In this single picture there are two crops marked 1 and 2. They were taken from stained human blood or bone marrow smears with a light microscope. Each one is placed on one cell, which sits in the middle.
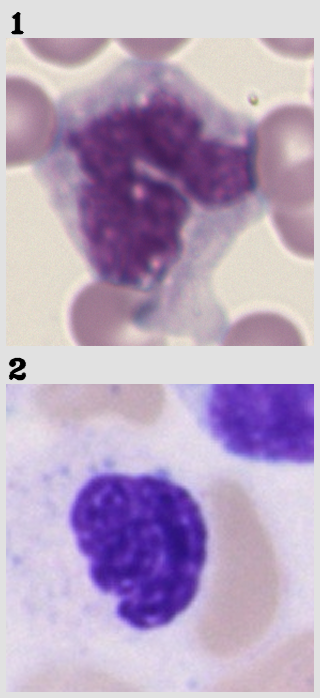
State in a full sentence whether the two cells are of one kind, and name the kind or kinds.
No, what crop 1 shows is a monocyte, and what crop 2 shows is a segmented neutrophil.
